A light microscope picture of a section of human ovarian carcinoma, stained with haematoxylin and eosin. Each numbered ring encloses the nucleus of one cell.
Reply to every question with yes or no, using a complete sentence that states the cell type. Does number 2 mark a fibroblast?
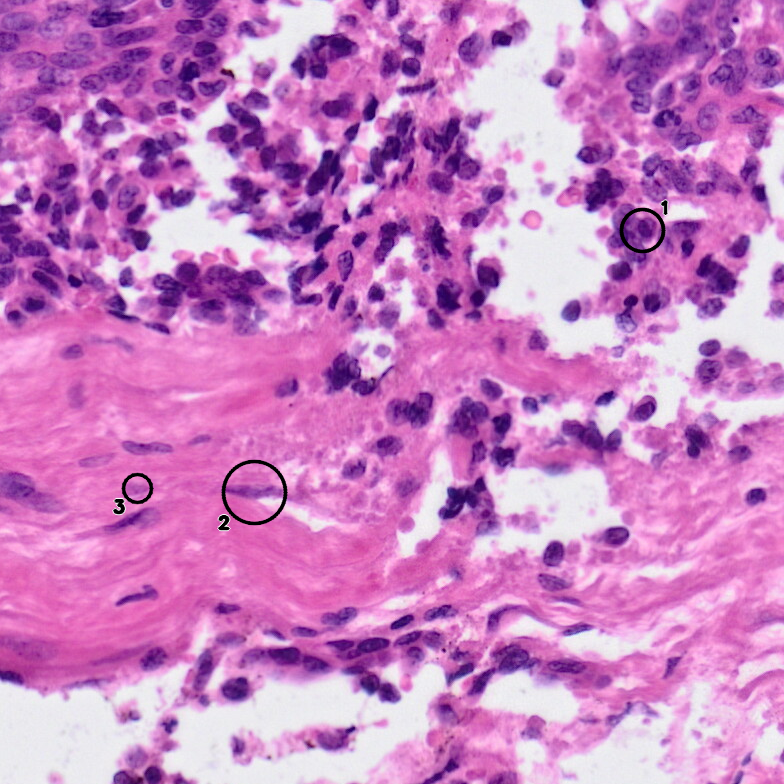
Yes, the cell at number 2 is a fibroblast.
